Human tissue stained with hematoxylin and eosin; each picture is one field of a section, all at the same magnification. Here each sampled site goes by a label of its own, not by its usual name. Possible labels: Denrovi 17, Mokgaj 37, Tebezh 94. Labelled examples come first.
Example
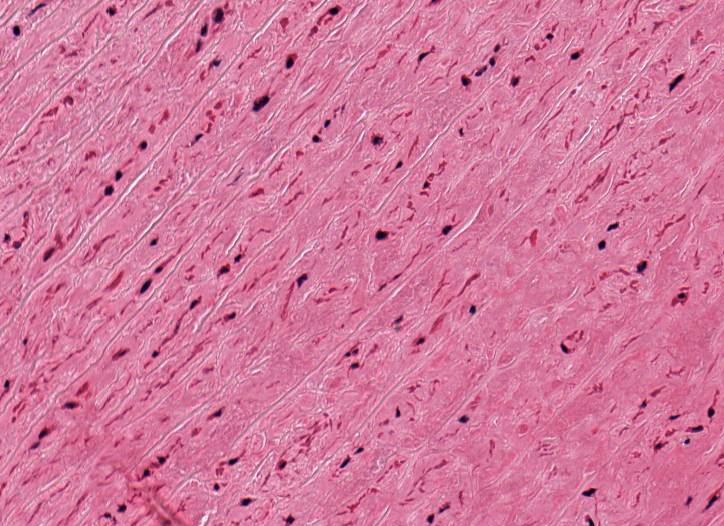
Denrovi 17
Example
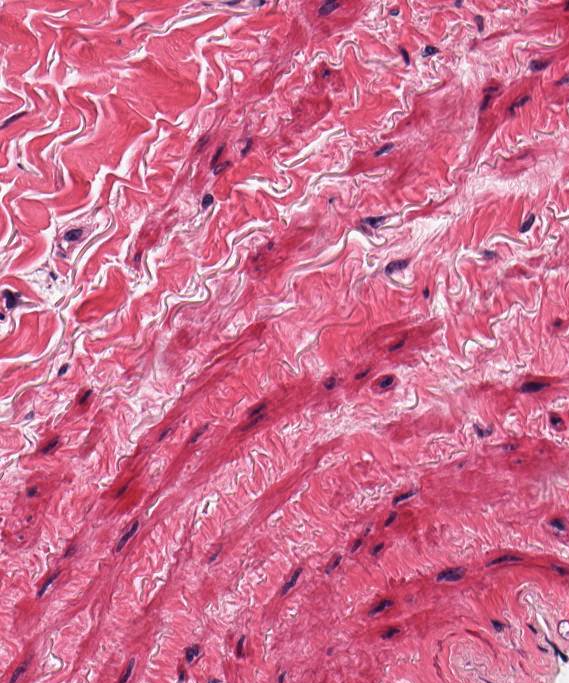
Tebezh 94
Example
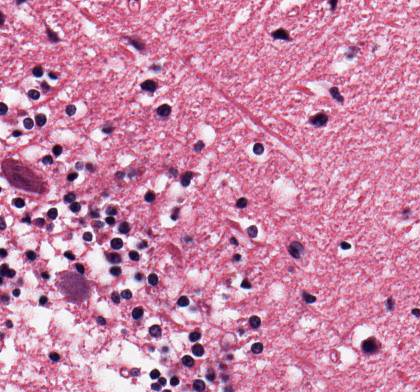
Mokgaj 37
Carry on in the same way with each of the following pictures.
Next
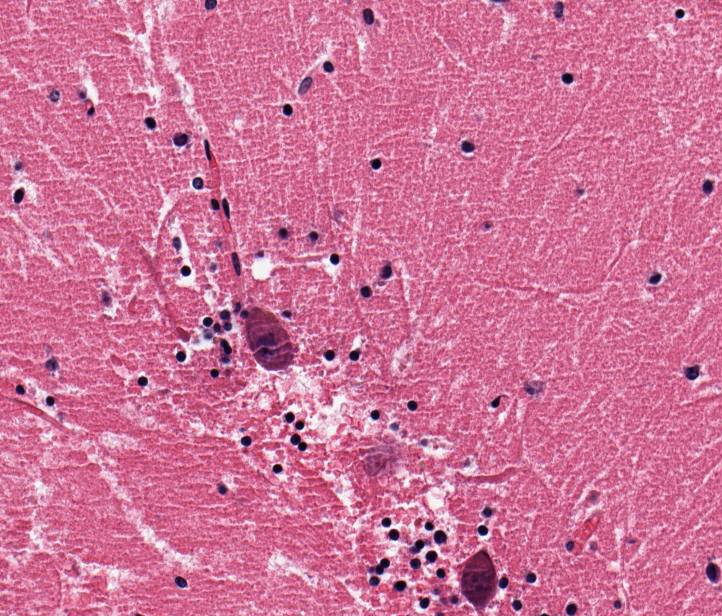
Mokgaj 37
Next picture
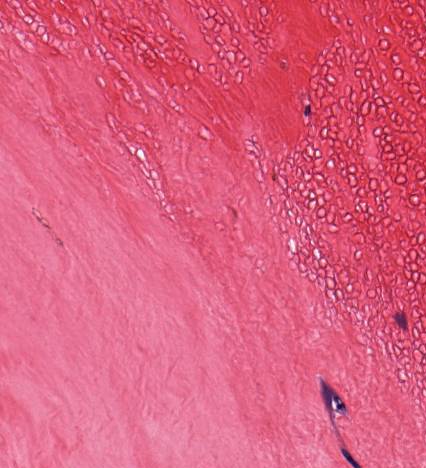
Tebezh 94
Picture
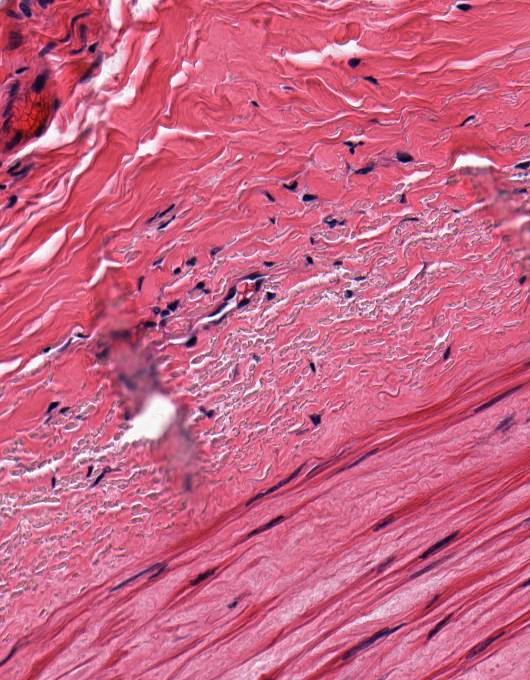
Tebezh 94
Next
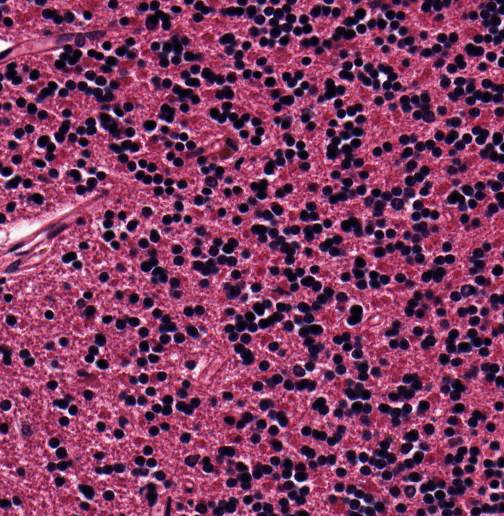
Mokgaj 37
